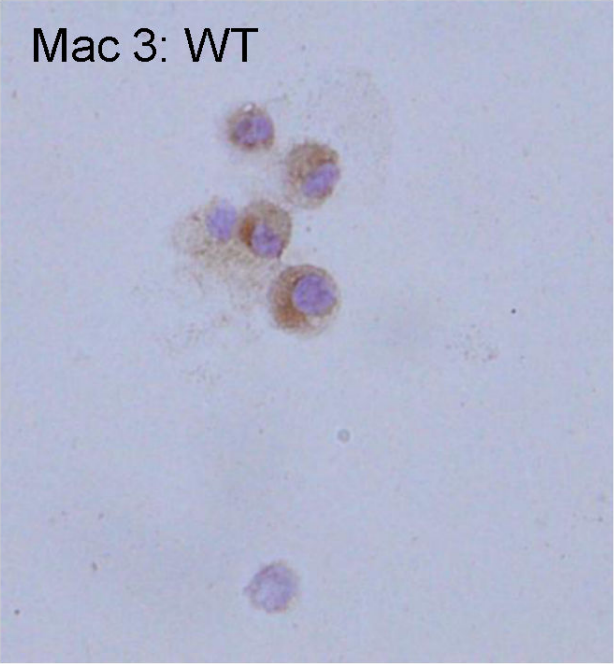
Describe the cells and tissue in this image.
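The cytoplasm is abundant and stained brown, most strongly around the nucleus and fading toward the cell edge. Some cells show a faint brown halo of granular material spreading beyond the main cell body. One cell lies apart from the cluster and stains somewhat paler. The cells vary moderately in size, the largest having the widest rim of brown cytoplasm.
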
